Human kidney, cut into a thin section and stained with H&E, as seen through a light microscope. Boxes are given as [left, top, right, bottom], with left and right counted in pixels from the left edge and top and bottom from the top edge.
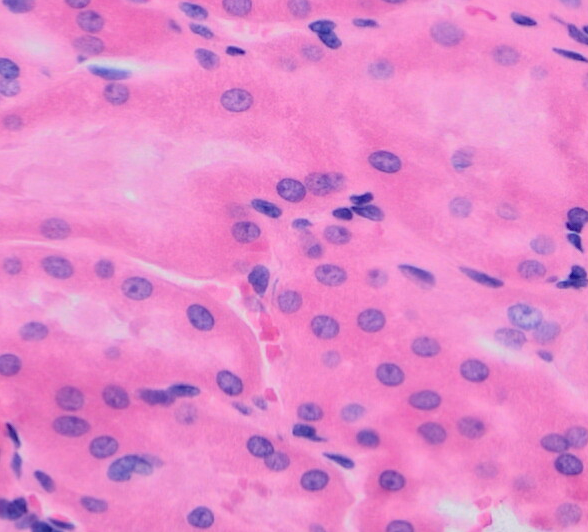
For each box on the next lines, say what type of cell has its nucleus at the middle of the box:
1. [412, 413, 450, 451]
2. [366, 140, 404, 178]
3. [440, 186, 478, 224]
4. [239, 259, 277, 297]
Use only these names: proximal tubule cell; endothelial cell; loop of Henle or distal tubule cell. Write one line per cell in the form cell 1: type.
cell 1: proximal tubule cell
cell 2: proximal tubule cell
cell 3: proximal tubule cell
cell 4: endothelial cell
